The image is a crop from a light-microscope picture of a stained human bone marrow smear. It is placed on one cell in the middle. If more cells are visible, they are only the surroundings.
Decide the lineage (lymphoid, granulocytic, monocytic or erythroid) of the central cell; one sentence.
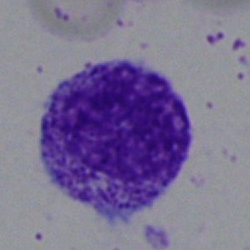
Regarding its lineage, the centered cell is granulocytic.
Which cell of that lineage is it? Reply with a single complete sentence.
To answer, the cell in the center of the crop is a myelocyte.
